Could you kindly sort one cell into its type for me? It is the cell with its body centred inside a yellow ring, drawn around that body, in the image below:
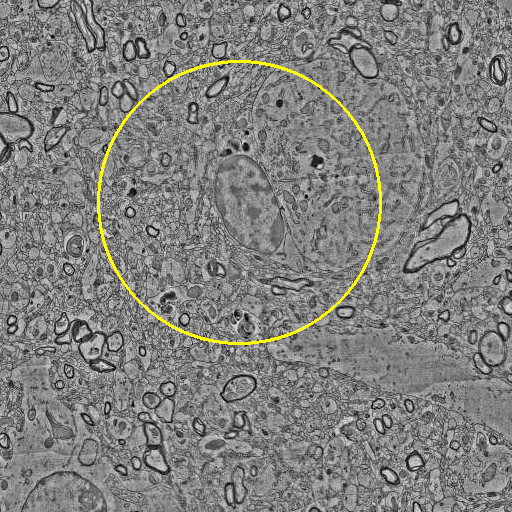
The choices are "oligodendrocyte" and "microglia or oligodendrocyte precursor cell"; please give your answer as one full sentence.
The cell whose body lies centred in the yellow ring here is a microglial cell or oligodendrocyte precursor cell.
